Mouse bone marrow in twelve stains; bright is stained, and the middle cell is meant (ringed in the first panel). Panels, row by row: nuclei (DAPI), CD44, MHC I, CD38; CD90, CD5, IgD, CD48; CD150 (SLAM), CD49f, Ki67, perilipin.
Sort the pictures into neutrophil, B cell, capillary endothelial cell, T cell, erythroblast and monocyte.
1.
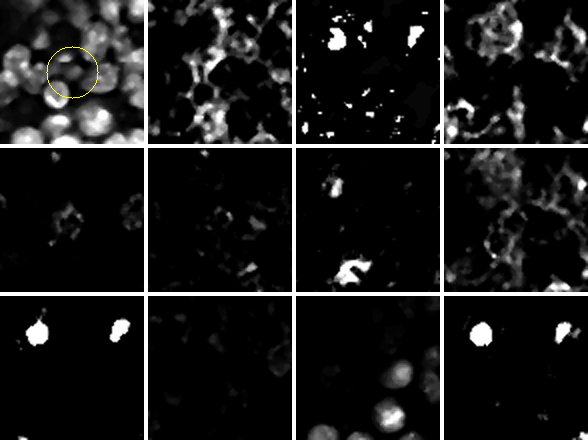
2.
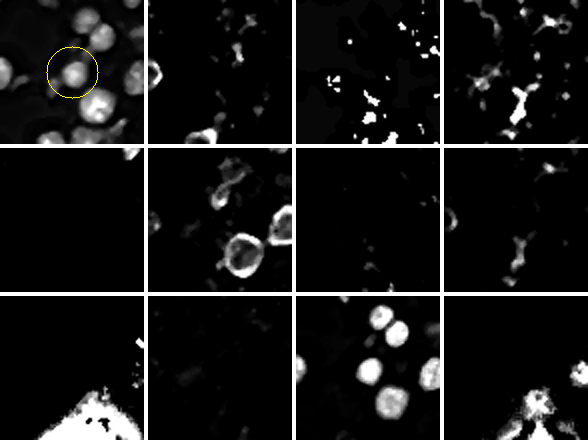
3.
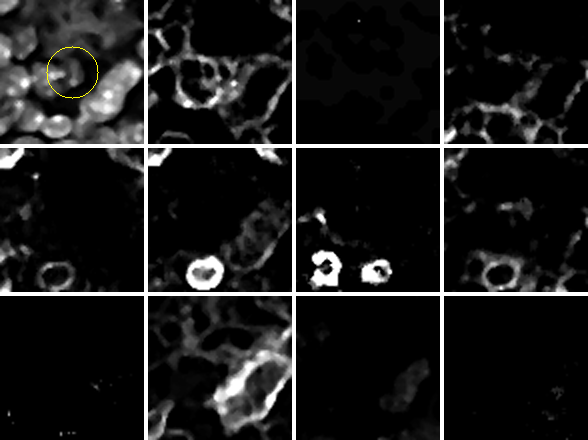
T cells: 1
Erythroblasts: 2
Neutrophils: 3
